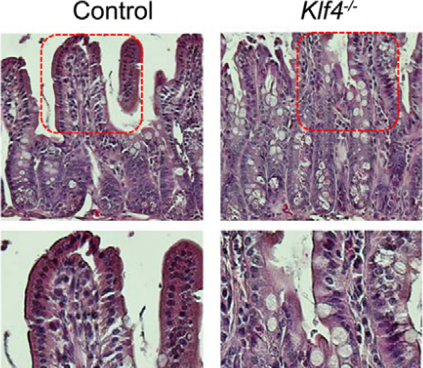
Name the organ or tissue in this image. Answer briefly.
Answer: small intestine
